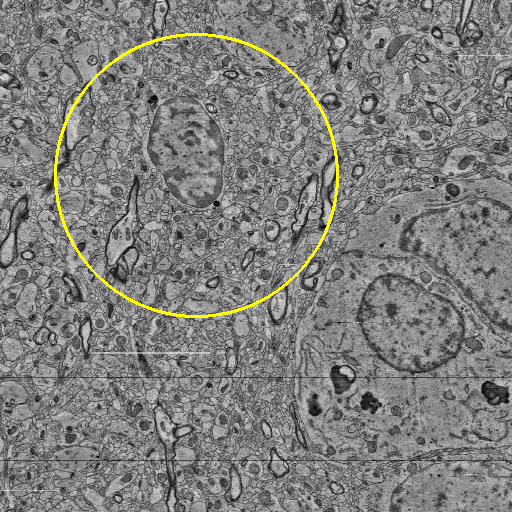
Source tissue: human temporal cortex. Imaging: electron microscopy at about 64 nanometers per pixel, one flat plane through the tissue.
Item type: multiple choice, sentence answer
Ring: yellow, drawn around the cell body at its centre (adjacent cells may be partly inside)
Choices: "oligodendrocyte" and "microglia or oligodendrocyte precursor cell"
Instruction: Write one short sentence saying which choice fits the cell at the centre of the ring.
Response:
This ring is drawn around a microglial cell or oligodendrocyte precursor cell.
